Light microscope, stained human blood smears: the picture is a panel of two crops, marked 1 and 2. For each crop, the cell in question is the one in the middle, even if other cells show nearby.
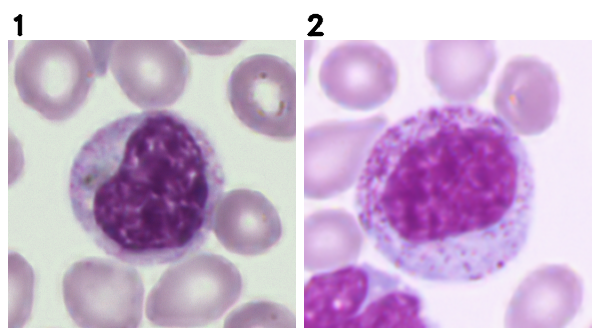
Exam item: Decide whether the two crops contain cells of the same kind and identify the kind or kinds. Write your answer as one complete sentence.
No, crop 1 displays a metamyelocyte and crop 2 displays a myelocyte.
